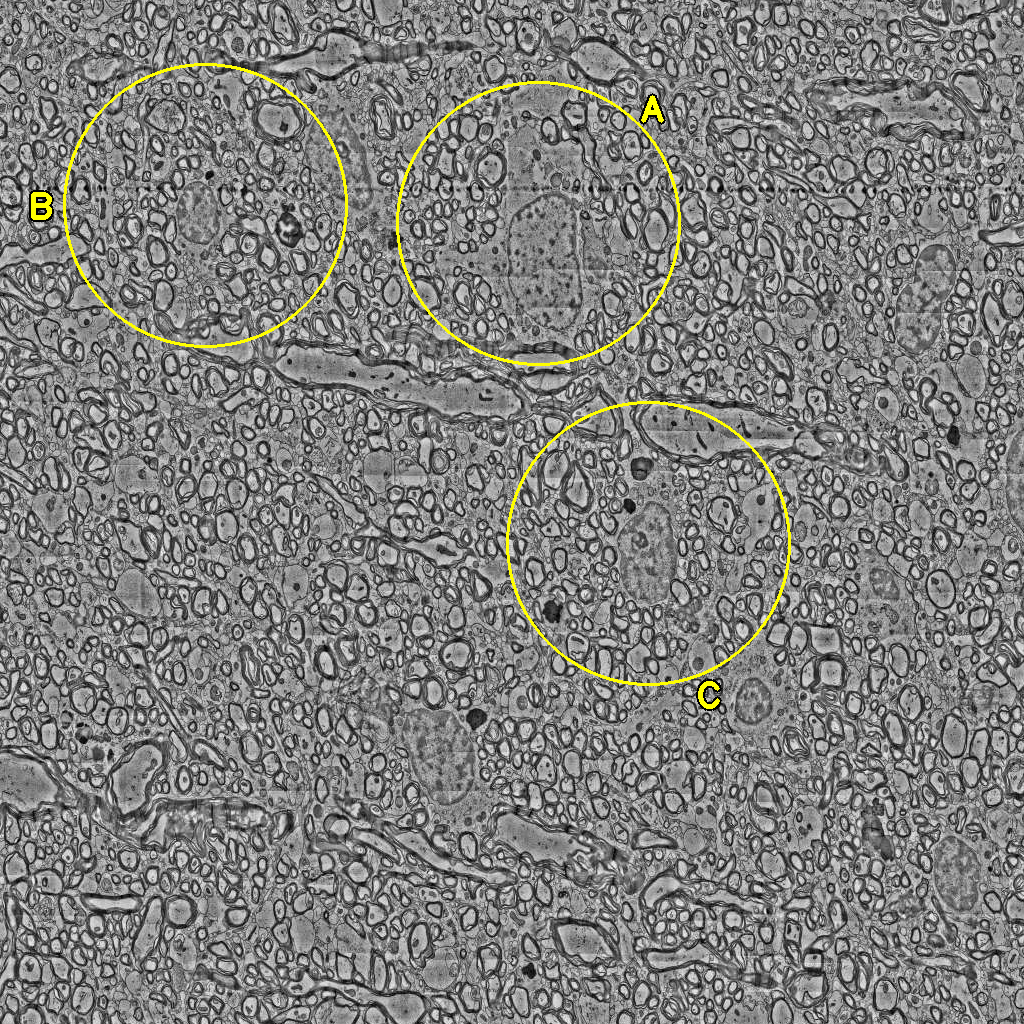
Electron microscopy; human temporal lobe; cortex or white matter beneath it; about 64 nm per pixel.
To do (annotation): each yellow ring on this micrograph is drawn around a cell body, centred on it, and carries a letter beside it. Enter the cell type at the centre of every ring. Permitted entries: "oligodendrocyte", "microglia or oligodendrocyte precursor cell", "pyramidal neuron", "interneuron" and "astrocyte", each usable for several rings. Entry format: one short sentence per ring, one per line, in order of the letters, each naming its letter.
Ring A: the cell at its centre is an astrocyte.
Ring B: the cell at its centre is an oligodendrocyte.
Ring C: the cell at its centre is an oligodendrocyte.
